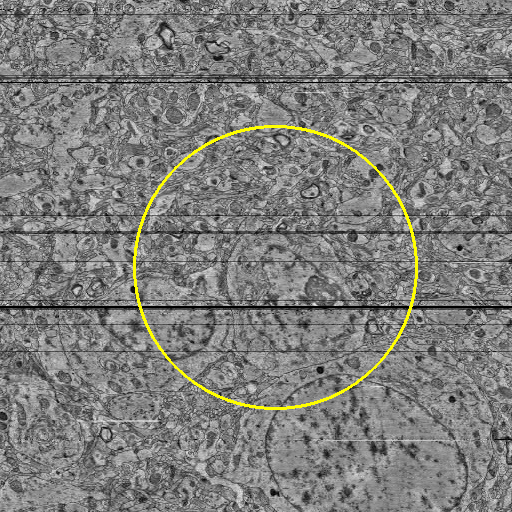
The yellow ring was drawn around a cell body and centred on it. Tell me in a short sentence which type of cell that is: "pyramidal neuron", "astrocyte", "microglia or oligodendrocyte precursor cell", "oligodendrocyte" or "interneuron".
The cell at the ring's centre is an interneuron.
